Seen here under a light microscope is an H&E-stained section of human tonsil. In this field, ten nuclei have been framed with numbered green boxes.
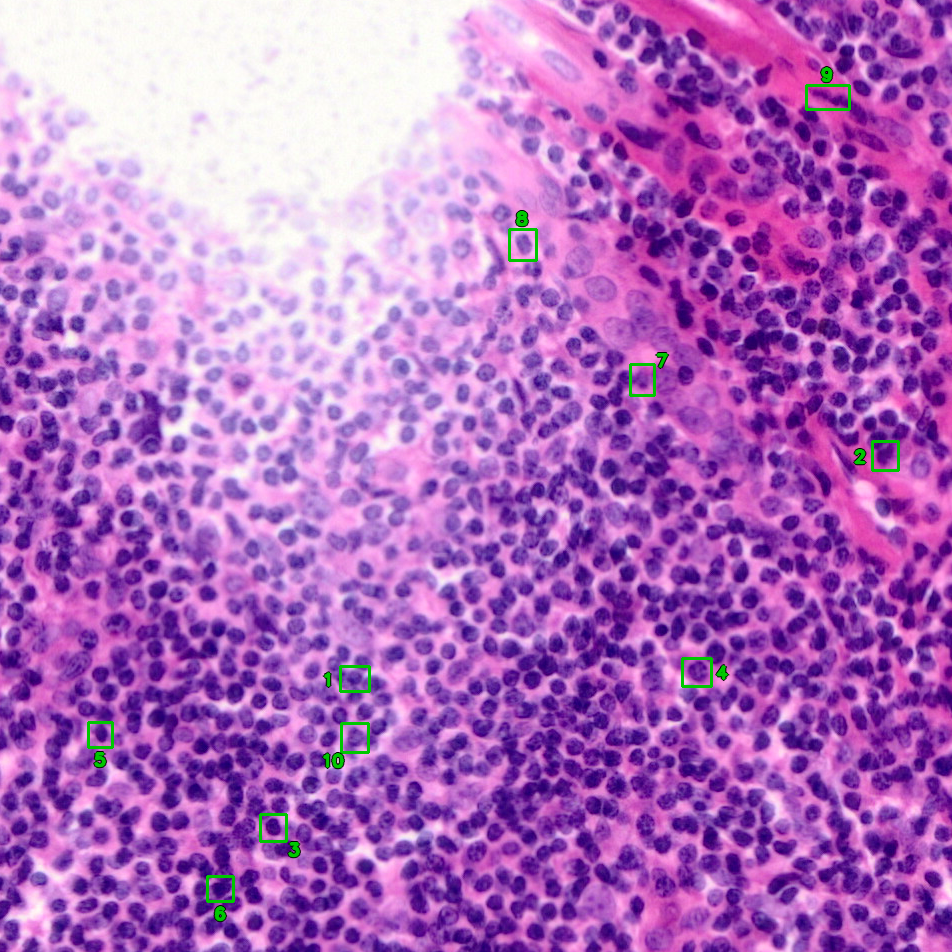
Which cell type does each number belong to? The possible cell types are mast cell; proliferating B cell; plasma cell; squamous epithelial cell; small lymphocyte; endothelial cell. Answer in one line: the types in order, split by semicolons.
small lymphocyte; endothelial cell; small lymphocyte; plasma cell; small lymphocyte; small lymphocyte; endothelial cell; small lymphocyte; endothelial cell; small lymphocyte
